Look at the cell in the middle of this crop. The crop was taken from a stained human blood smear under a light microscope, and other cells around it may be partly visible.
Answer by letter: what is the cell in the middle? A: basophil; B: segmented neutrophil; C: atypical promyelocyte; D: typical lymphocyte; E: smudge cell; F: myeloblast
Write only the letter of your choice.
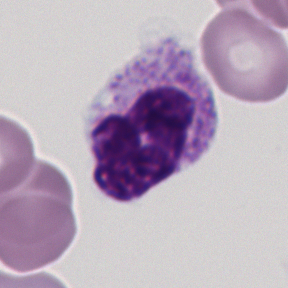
B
